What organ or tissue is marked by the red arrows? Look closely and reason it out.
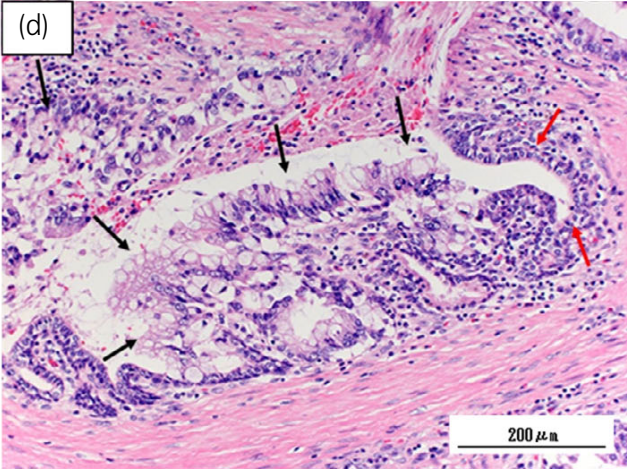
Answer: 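The marked area is a layered epithelium of small cells with dark round nuclei. These cells lack the pale vacuolated cytoplasm of the neighbouring cells.
Answer: urothelium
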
